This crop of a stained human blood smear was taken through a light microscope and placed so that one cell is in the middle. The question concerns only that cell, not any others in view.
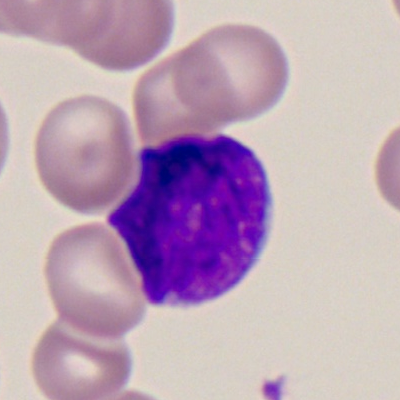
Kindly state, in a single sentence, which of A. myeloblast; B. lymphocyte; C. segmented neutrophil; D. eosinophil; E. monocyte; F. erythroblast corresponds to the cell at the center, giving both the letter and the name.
For this crop, option A is right, the centered cell being a myeloblast.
